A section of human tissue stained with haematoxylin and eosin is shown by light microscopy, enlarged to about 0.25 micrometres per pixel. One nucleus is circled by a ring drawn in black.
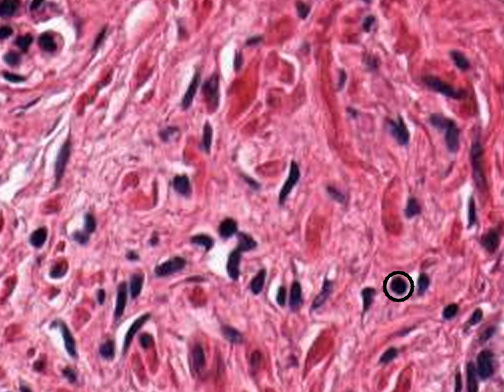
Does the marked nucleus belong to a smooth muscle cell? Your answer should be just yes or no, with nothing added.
no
